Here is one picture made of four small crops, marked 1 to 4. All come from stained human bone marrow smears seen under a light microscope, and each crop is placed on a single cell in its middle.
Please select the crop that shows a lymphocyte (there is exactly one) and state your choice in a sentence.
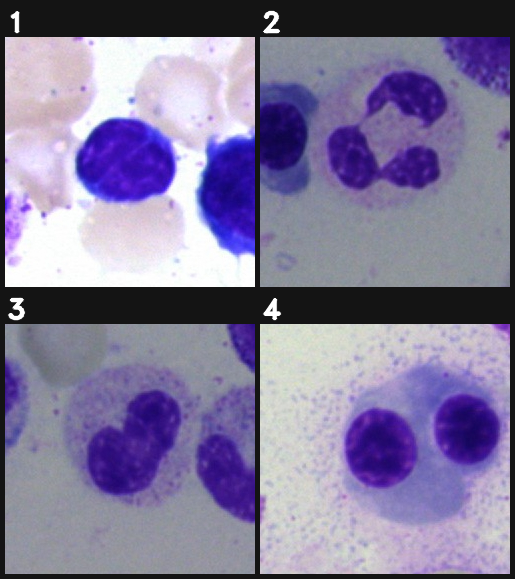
Crop 1 is the one in the set with a lymphocyte at the center.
